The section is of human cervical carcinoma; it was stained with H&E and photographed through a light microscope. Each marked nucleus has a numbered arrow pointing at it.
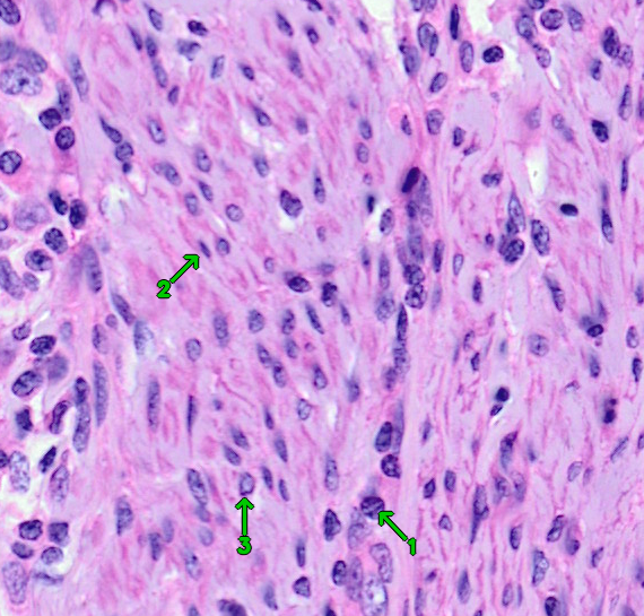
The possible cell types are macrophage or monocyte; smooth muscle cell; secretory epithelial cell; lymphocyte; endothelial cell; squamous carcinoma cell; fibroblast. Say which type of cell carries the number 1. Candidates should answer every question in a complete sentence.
Cell 1 is classified as a lymphocyte.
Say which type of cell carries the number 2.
The numeral 2 marks a smooth muscle cell in this section.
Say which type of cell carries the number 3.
The cell that bears the number 3 is a smooth muscle cell.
